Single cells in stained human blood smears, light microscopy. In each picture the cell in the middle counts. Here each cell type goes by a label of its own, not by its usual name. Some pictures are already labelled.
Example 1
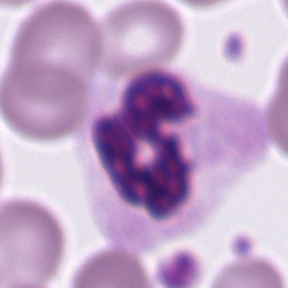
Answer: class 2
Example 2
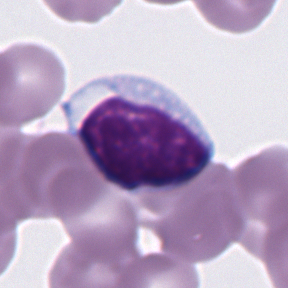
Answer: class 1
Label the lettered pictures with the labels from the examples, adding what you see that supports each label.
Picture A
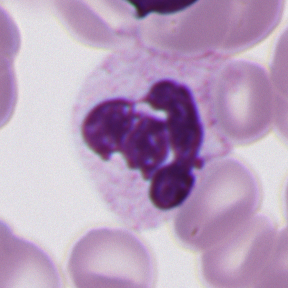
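class 2: The nucleus is divided into several lobes.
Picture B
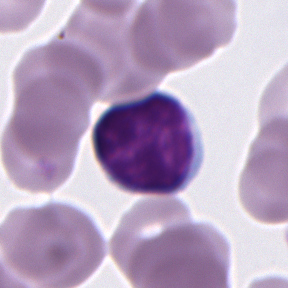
class 1: The cytoplasm is only a thin rim around the nucleus.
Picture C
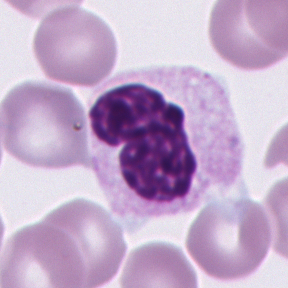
class 2: The cytoplasm is abundant and pale greyish-lilac, widest on the right side.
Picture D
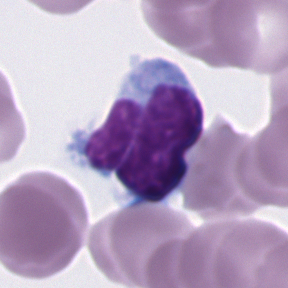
class 1: The cytoplasm is scant and pale blue.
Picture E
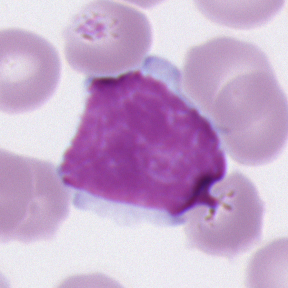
class 1: The cytoplasm shows only as a narrow rim, best seen along the top and bottom edges.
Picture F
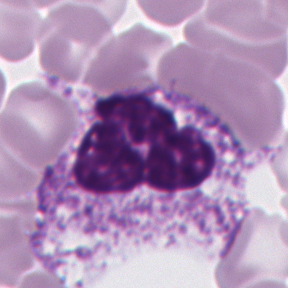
class 2: The cytoplasm is abundant and very pale, almost colourless.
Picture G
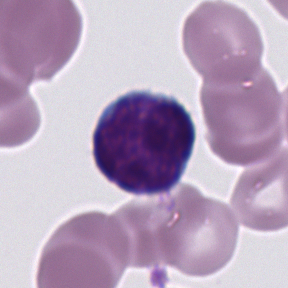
class 1: The cytoplasm is only a barely visible thin bluish rim.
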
